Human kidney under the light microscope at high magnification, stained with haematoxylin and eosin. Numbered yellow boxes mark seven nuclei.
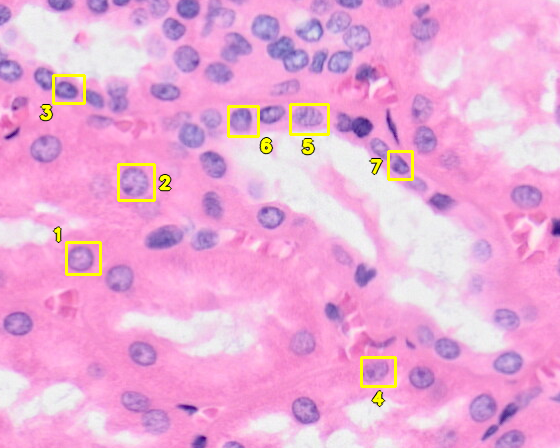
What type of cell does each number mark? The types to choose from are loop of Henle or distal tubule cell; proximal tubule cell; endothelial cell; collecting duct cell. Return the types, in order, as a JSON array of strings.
["proximal tubule cell", "proximal tubule cell", "loop of Henle or distal tubule cell", "proximal tubule cell", "collecting duct cell", "collecting duct cell", "collecting duct cell"]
